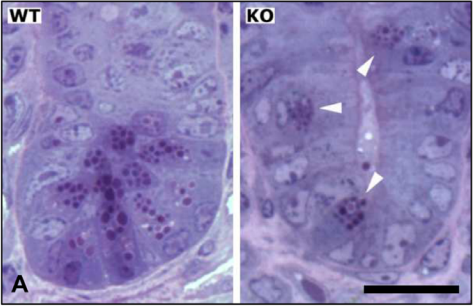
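These are two bases of intestinal crypts side by side, where the Paneth cells sit at the very bottom of each pit. In the left image, several cells crowd around the narrow lumen, their cytoplasm packed with clusters of round, dark purple granules lying toward the lumen, above pale oval nuclei. In the right image, the crypt base looks emptier: only a few cells carry such granules, marked by the arrowheads, and their clusters are smaller with granules of uneven size. The surrounding crypt cells have pale blue cytoplasm and rounded nuclei, and a thin pink connective tissue rim outlines each crypt.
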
